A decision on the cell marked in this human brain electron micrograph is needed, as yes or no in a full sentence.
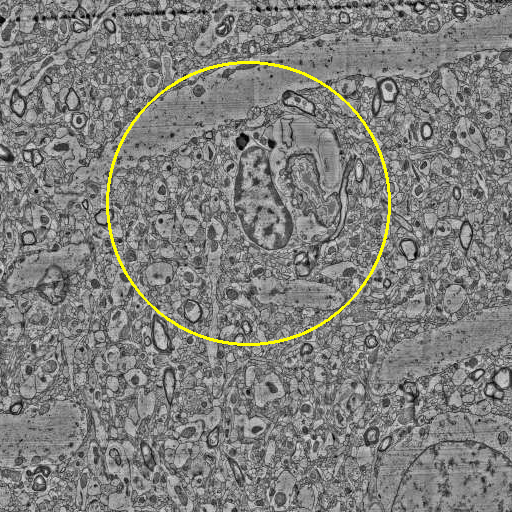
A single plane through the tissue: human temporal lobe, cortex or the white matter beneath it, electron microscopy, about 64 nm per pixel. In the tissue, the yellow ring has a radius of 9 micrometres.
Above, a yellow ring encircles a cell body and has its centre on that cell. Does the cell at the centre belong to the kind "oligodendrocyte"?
No, a different kind fits the cell at the centre of the ring in the picture.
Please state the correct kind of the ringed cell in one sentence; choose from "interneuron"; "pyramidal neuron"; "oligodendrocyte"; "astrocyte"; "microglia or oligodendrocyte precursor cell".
The cell circled by the yellow ring is a microglial cell or oligodendrocyte precursor cell.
